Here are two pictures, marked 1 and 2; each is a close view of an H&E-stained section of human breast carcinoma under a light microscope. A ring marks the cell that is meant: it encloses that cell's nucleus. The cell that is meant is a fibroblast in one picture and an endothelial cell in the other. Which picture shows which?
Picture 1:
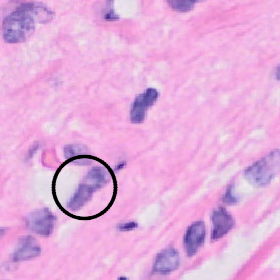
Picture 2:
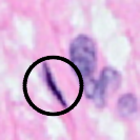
1: endothelial cell
2: fibroblast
